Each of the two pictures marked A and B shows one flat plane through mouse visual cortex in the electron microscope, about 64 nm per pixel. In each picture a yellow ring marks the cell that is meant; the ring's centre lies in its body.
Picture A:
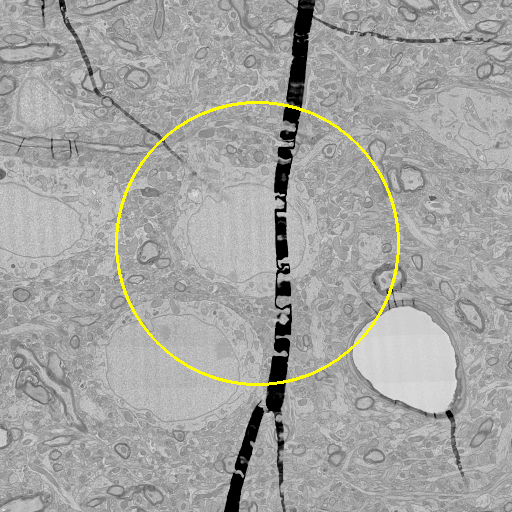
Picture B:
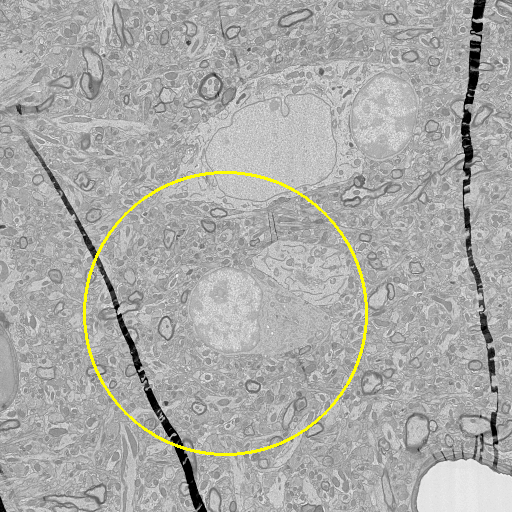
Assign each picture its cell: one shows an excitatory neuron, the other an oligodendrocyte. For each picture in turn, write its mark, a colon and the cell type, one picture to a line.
A: excitatory neuron
B: oligodendrocyte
